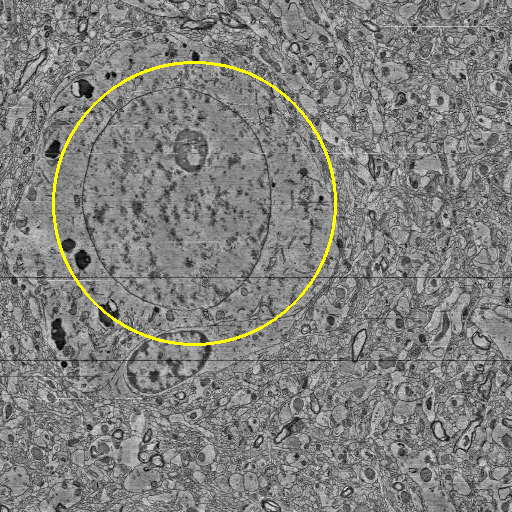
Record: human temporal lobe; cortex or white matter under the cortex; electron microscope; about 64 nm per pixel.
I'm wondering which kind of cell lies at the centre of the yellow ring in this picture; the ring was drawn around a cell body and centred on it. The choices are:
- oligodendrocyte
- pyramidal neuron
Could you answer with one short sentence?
At the centre of the ring lies a pyramidal neuron.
